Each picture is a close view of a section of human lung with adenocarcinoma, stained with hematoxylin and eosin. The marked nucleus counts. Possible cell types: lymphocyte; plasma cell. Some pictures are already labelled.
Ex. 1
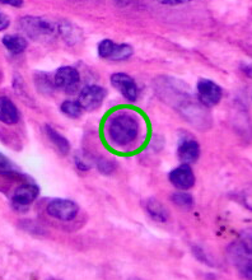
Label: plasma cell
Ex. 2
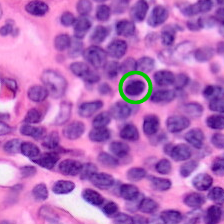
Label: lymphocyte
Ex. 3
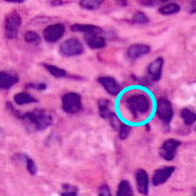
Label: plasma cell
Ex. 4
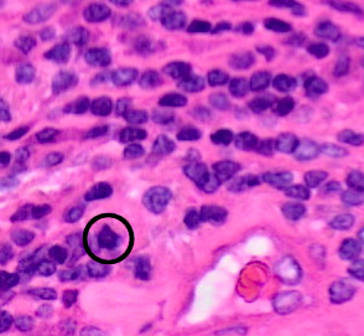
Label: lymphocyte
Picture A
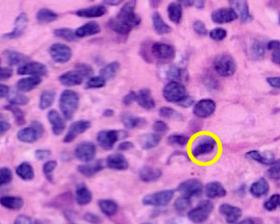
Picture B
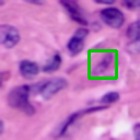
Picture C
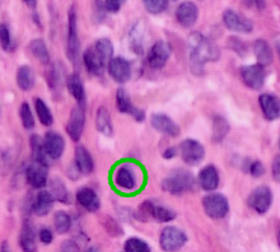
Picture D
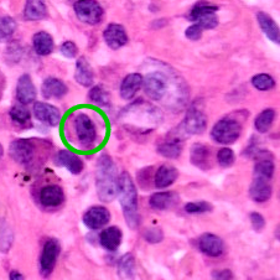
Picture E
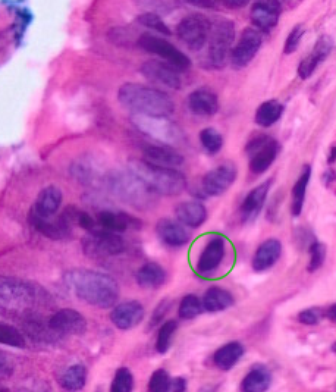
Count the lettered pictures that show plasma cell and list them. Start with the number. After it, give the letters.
4, namely A, B, D, E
